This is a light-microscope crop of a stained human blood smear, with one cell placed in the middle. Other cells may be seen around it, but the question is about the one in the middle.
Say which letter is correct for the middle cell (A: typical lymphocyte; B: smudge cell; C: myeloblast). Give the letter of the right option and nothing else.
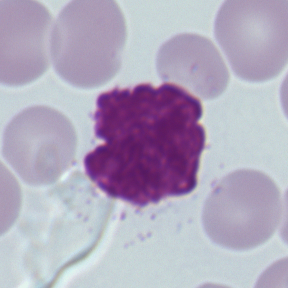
B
